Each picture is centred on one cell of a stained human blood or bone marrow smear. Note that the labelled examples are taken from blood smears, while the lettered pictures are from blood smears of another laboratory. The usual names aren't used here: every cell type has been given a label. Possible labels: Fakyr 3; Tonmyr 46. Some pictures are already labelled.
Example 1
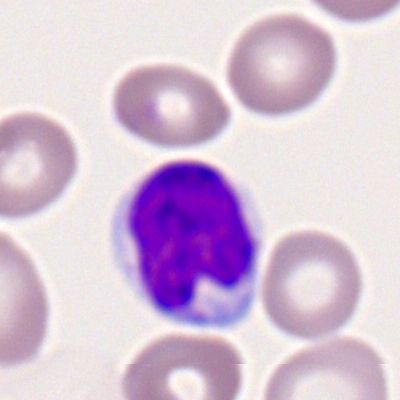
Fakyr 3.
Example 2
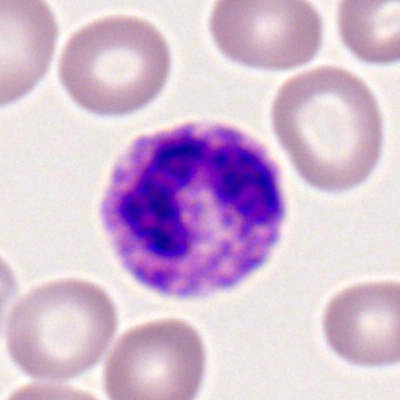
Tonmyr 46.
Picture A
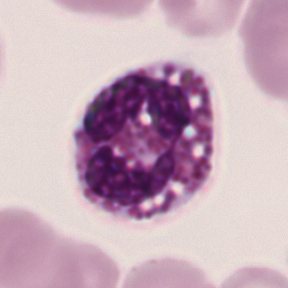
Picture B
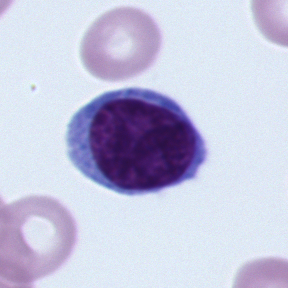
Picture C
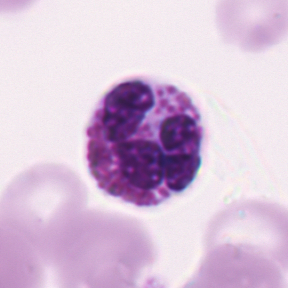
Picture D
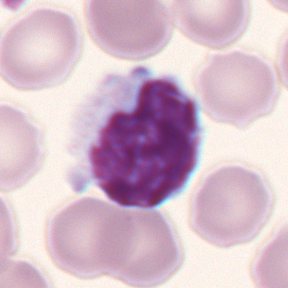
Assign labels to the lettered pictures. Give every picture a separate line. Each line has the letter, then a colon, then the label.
A: Tonmyr 46.
B: Fakyr 3.
C: Tonmyr 46.
D: Fakyr 3.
